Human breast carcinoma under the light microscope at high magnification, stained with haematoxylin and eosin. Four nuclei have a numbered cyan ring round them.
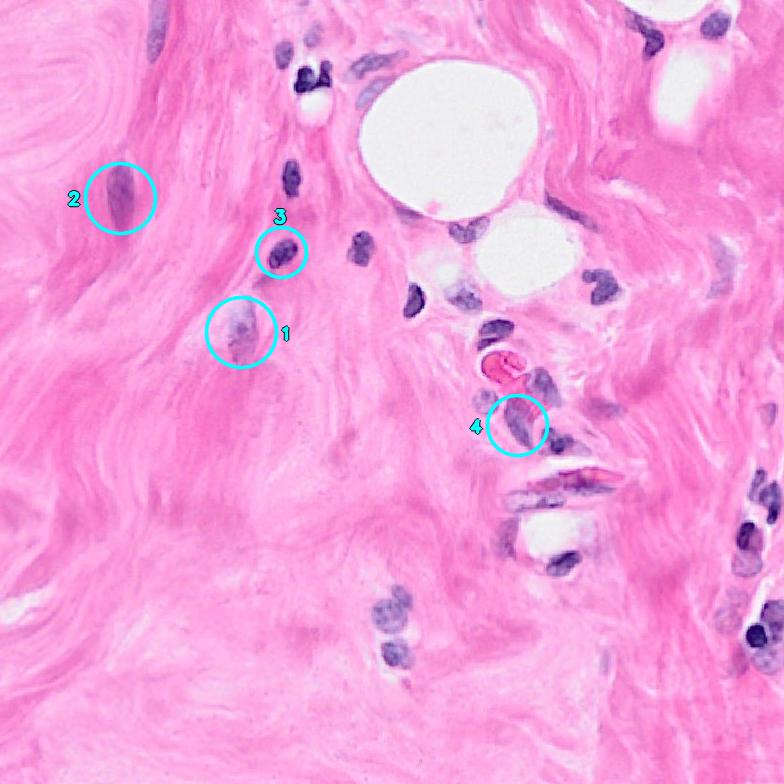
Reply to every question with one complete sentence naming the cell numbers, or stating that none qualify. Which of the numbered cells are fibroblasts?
To be specific, the cells numbered 1 and 2 are fibroblasts.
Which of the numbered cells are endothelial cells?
In short, cell 4 is an endothelial cell; the others are not.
